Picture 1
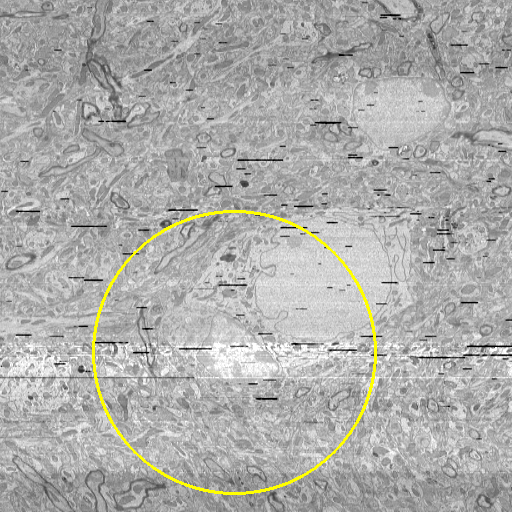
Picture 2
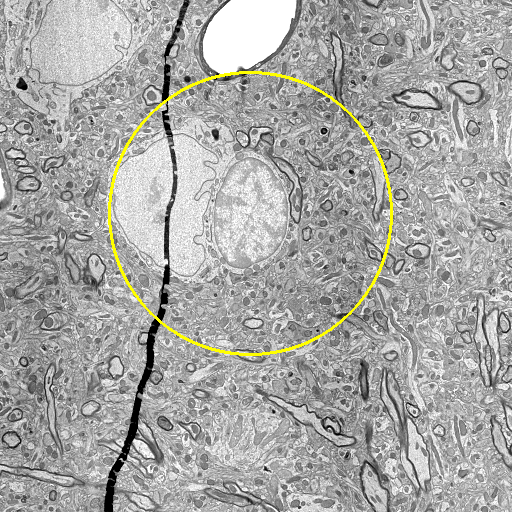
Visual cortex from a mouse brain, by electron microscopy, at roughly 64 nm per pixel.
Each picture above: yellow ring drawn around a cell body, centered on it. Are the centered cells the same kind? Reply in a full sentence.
Yes, the two cells are the same kind.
